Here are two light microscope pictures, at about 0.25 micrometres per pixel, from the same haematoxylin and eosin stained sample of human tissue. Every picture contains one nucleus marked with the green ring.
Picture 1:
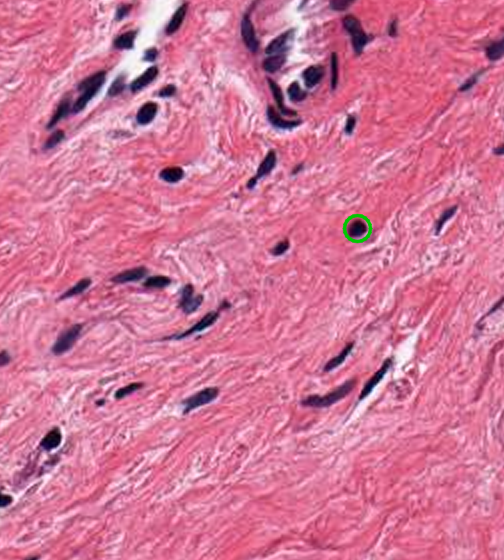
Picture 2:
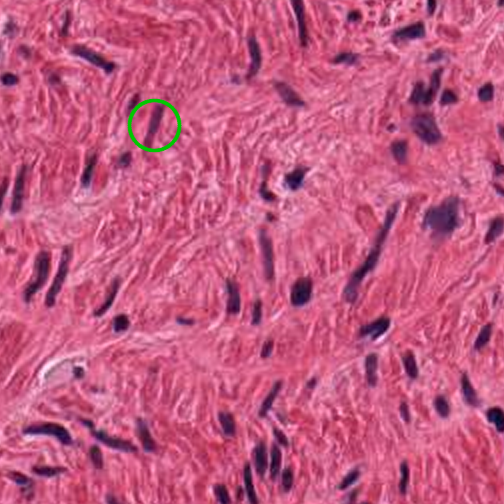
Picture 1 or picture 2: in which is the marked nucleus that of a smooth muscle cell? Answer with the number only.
2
